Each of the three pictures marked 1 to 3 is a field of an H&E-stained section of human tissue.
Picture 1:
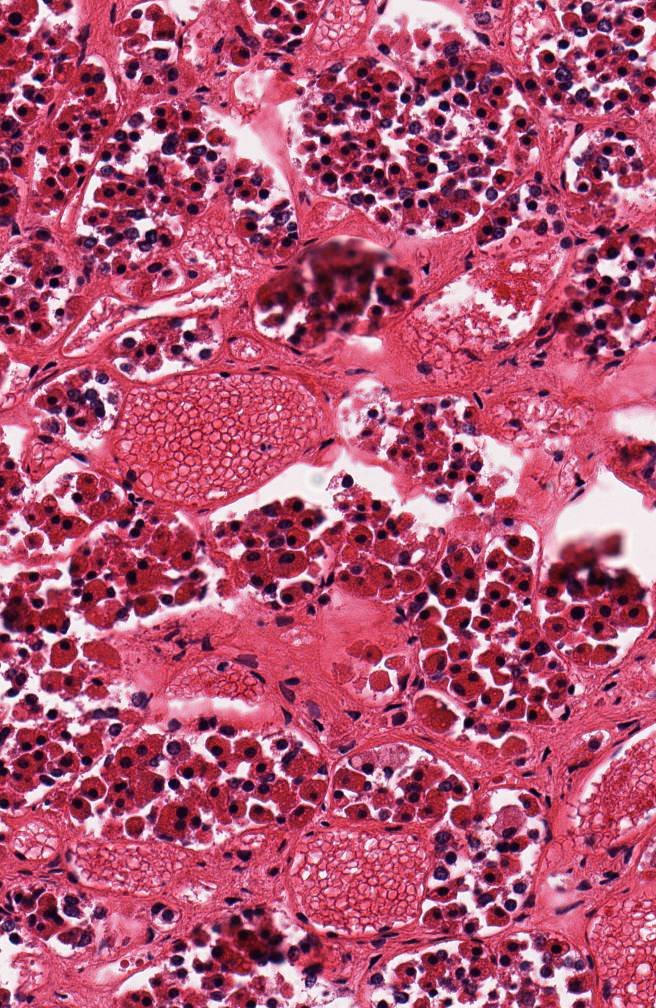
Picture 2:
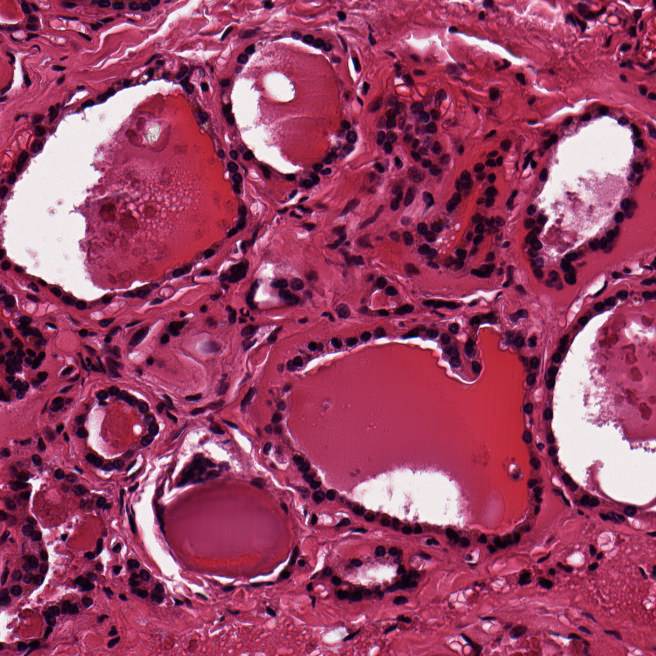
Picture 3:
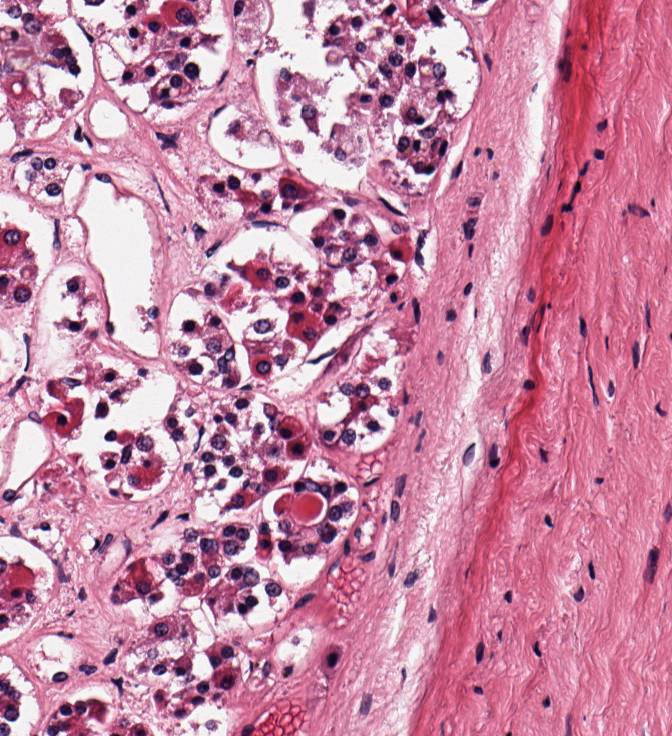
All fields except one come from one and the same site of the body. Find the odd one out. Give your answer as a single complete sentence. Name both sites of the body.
The others come from the pituitary, but picture 2 comes from the thyroid.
